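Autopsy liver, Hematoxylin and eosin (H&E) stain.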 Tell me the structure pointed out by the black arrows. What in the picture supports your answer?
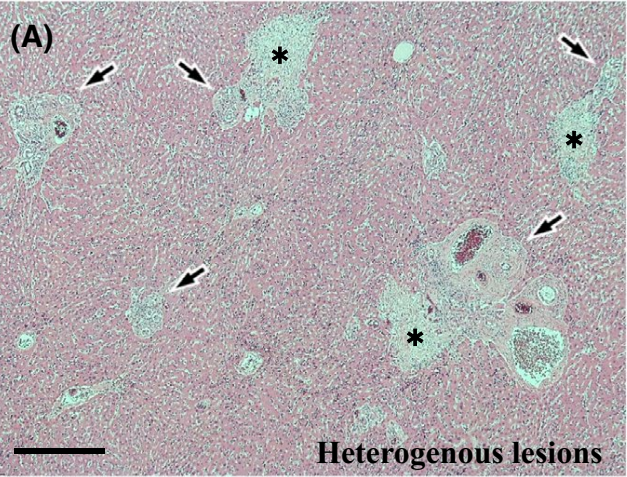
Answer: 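Portal areas. Each arrow points to a pale island of connective tissue within the pink liver parenchyma. Several of these islands contain blood-filled vessels.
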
